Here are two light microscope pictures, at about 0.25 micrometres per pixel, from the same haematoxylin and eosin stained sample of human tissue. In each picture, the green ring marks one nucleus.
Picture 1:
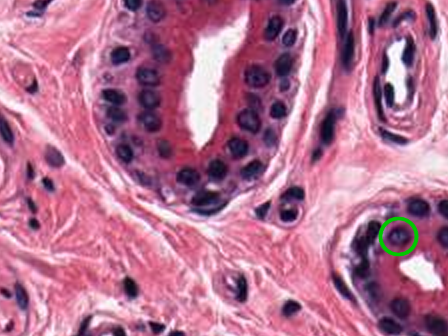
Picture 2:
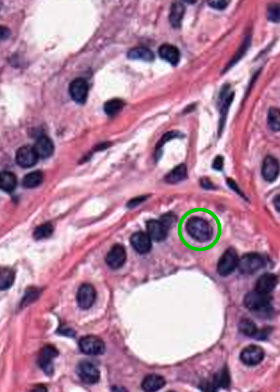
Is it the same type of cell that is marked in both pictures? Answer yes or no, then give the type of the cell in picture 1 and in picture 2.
Yes, both are sweat gland cells.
